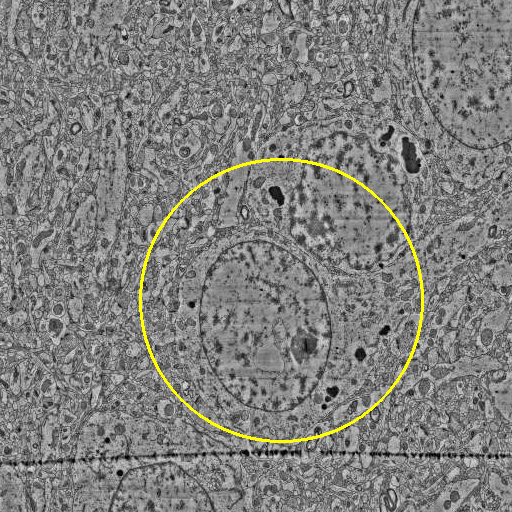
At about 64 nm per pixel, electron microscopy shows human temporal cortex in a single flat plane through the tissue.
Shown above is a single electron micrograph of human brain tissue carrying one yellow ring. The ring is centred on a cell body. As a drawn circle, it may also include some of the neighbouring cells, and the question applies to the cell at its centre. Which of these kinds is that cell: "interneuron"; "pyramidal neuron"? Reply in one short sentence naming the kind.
The cell marked by the ring is a pyramidal neuron.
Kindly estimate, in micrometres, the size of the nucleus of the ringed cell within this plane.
In this plane, approximately 11 by 8 micrometers.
